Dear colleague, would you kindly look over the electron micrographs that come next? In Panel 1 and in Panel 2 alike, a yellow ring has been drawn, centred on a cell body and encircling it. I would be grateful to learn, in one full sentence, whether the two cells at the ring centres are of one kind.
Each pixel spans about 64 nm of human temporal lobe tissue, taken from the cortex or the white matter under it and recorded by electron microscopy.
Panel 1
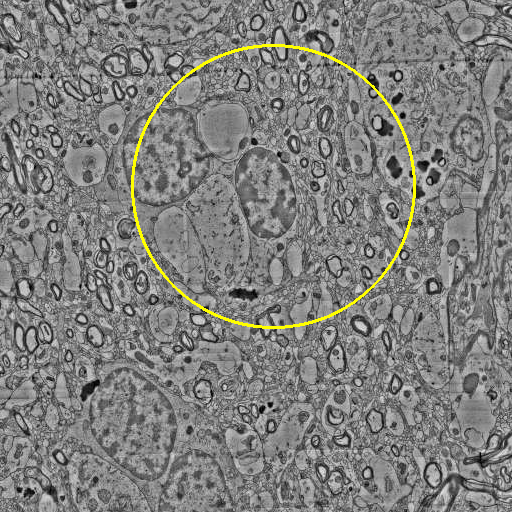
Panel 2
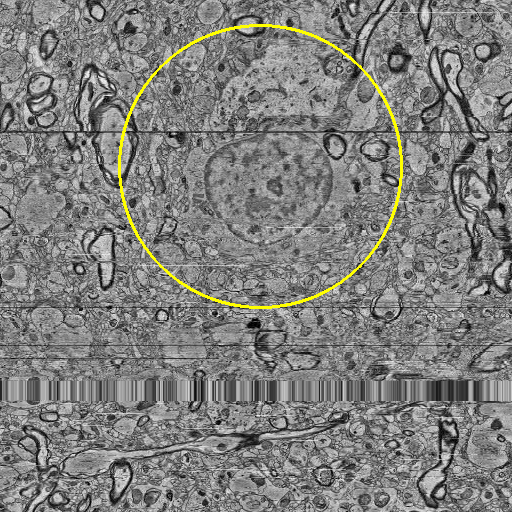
No, the cells in the middle of the rings in the two panels are of two kinds.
